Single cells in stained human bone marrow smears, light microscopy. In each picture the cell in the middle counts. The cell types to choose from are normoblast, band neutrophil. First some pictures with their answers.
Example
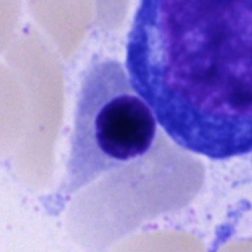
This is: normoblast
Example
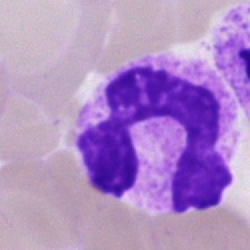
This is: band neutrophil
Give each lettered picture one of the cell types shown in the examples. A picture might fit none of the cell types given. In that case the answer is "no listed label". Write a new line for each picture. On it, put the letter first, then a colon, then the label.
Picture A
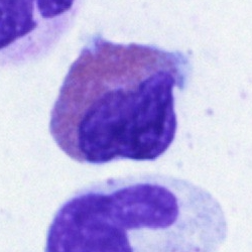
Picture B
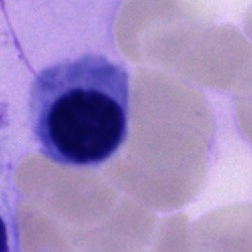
A: no listed label
B: normoblast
